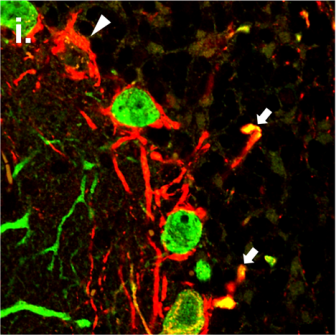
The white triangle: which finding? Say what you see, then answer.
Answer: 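A tangle of red fibres forms a basket-like cluster. No green cell body lies inside it, unlike the neighbouring baskets. The answer: empty basket.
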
